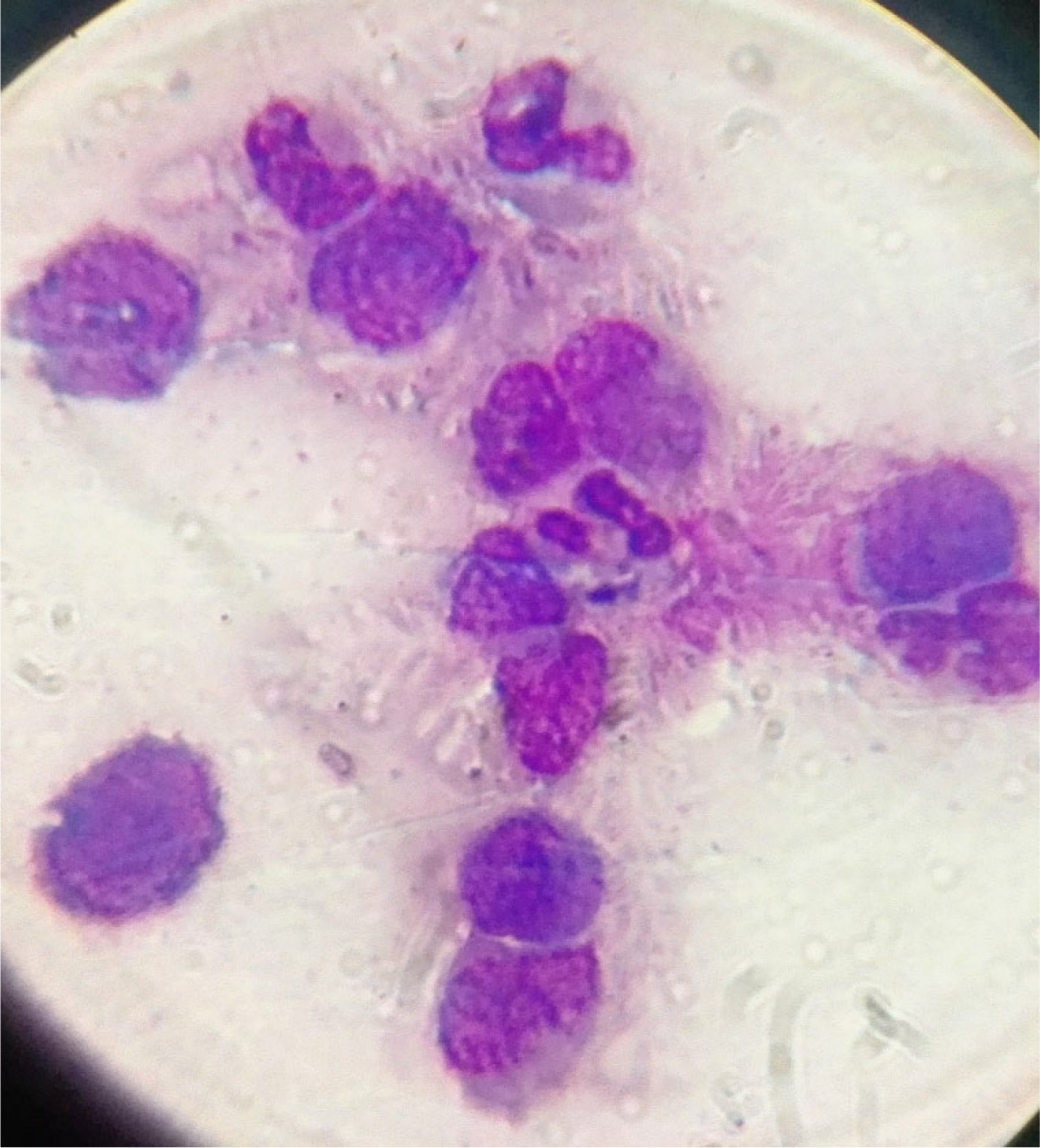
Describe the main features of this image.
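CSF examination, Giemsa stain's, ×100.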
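This is a sparsely cellular fluid preparation containing scattered single cells and small clusters of white blood cells. Several cells have deep purple nuclei with coarse, clumped chromatin, and some of these nuclei are folded or divided into lobes.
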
